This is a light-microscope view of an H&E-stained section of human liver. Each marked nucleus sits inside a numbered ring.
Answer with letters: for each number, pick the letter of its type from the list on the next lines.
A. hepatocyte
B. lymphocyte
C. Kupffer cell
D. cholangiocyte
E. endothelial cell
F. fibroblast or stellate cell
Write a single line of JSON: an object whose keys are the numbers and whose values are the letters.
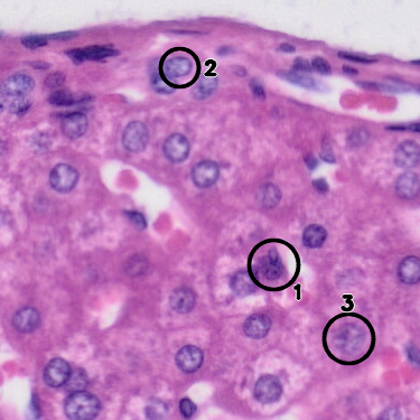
{"1": "C", "2": "D", "3": "A"}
